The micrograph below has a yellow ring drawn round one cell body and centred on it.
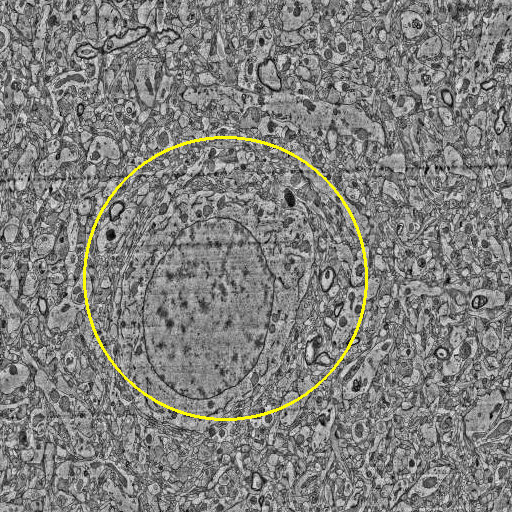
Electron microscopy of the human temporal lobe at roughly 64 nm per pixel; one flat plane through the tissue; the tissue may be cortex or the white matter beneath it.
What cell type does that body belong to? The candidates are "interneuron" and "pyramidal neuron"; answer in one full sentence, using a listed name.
This is a pyramidal neuron, the cell whose body lies at the centre of the ring.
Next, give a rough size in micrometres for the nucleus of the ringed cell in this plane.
About 12 by 8 micrometers for the nucleus, in this plane.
